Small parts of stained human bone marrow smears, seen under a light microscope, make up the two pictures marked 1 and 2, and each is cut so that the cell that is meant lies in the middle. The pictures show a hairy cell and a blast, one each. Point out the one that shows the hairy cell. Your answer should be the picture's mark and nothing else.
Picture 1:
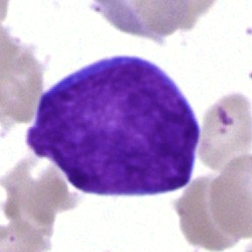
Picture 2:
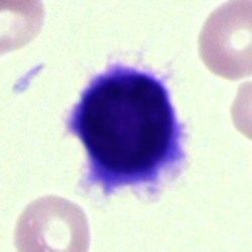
2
